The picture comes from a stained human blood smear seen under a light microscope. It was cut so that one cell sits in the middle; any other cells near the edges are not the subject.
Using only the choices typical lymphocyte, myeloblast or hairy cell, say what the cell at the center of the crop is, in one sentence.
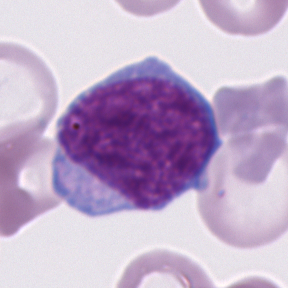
Present in the middle of the crop is a myeloblast.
